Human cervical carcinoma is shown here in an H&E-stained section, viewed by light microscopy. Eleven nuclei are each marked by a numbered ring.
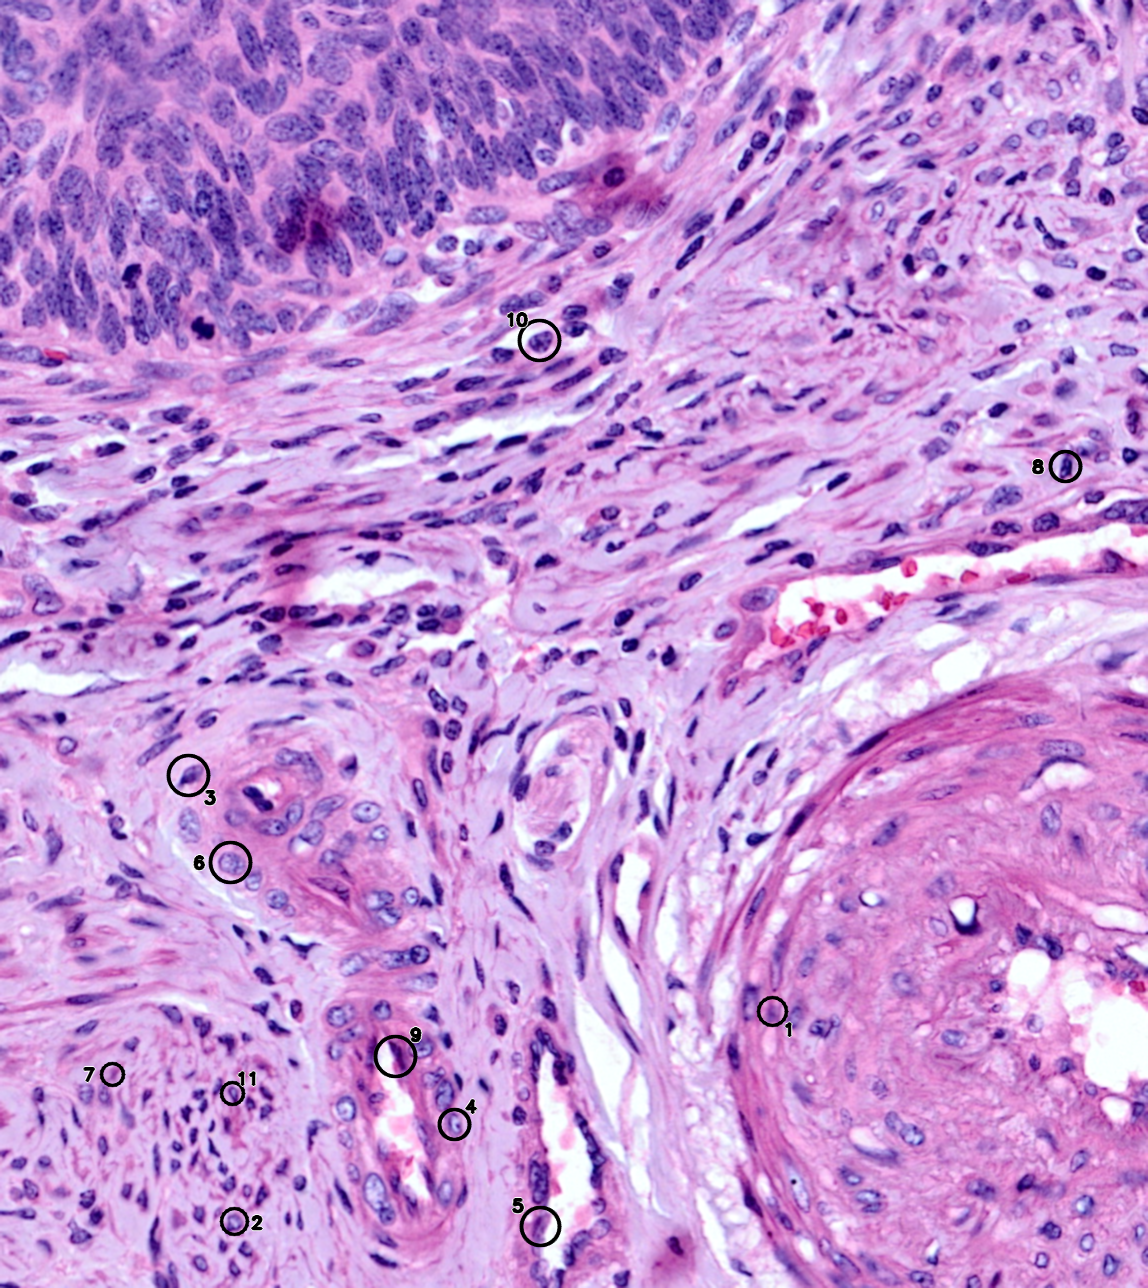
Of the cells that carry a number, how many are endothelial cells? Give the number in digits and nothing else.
2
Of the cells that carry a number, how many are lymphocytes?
3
